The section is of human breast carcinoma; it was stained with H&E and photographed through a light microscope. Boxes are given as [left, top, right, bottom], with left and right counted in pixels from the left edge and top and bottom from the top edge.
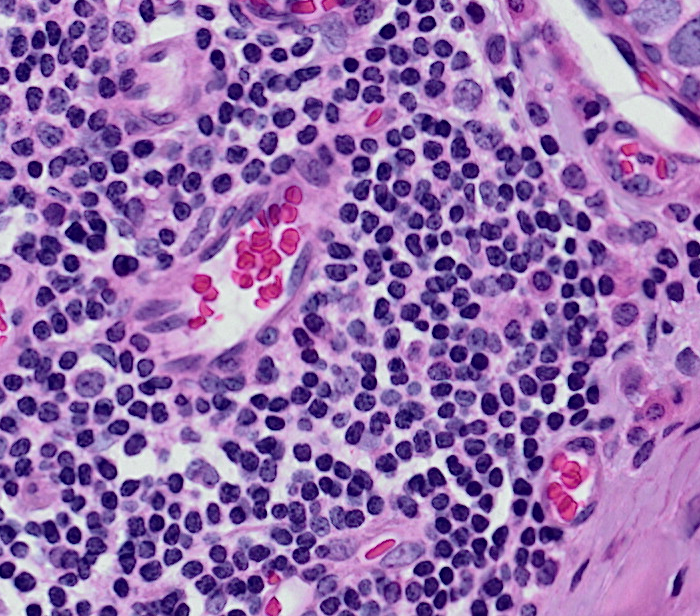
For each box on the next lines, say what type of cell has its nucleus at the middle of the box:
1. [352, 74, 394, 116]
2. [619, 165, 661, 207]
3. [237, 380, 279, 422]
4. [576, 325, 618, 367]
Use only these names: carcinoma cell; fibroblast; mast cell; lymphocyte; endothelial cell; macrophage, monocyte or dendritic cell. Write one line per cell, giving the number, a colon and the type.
1: lymphocyte
2: endothelial cell
3: lymphocyte
4: lymphocyte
